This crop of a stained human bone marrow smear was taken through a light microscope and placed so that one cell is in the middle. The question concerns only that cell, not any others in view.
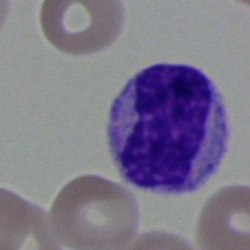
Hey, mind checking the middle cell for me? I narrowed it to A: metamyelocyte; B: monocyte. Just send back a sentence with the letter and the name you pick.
The correct option is A, as the central cell is a metamyelocyte.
